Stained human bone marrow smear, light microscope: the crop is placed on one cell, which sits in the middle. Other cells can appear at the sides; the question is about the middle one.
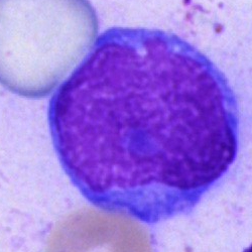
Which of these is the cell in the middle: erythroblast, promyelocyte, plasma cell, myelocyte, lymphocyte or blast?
blast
